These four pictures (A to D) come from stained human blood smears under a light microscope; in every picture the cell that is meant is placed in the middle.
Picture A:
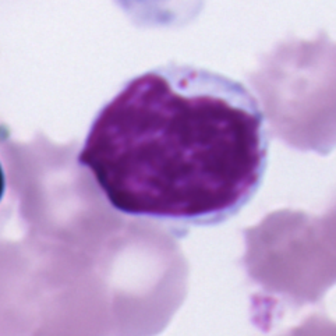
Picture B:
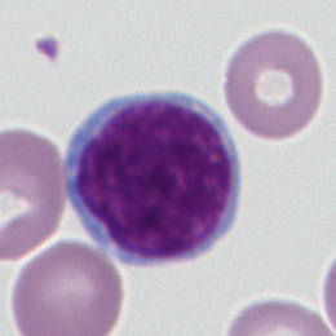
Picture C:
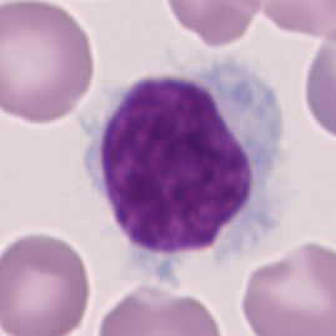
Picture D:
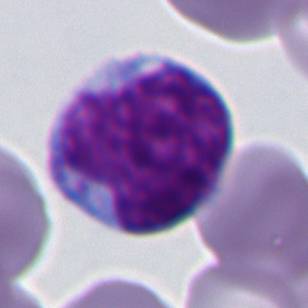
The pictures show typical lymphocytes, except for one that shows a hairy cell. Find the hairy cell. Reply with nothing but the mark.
C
